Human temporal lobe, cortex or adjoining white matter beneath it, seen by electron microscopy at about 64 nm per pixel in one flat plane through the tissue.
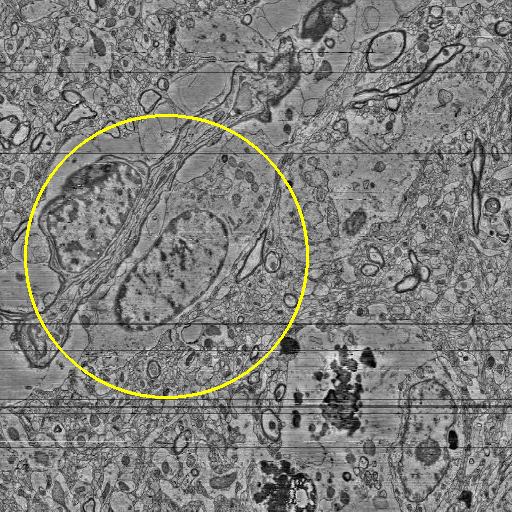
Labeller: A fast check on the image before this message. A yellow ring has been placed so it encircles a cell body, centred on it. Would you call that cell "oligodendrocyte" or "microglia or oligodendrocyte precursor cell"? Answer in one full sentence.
In this image, a microglial cell or oligodendrocyte precursor cell is the cell on which the yellow ring is centred.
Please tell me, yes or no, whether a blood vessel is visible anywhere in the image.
Yes, the image shows a blood vessel.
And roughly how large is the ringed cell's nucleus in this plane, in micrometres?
At approximately 9 by 5 micrometres, the nucleus is clearly longer than it is wide in this plane.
